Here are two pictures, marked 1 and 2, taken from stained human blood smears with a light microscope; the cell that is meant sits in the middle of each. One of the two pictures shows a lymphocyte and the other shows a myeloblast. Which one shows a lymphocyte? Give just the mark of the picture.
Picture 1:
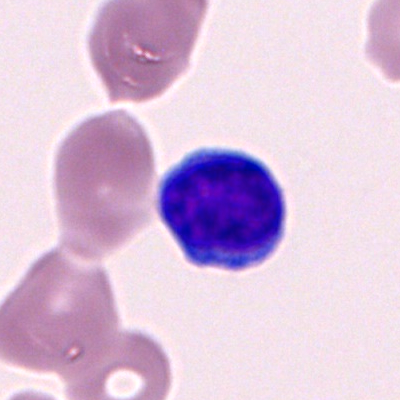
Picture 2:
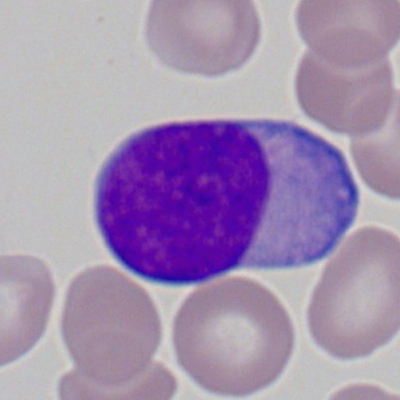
1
